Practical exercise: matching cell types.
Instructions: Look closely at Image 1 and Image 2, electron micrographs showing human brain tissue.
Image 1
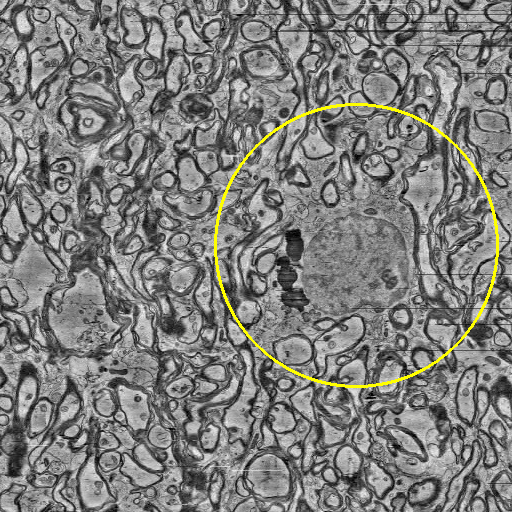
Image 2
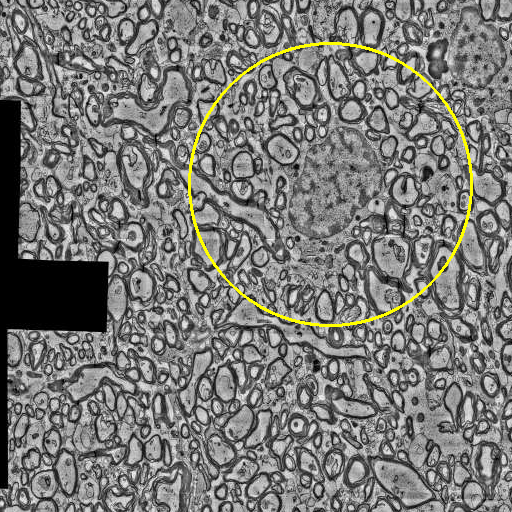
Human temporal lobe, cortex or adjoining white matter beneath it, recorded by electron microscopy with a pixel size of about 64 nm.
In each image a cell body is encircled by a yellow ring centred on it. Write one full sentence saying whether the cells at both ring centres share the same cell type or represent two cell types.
Across Image 1 and Image 2, the cells at the ring centres share the same cell type.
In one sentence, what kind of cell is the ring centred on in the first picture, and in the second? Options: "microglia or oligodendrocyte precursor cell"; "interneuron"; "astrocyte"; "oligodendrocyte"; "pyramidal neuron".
In each of the two pictures, the ringed cell is an oligodendrocyte.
